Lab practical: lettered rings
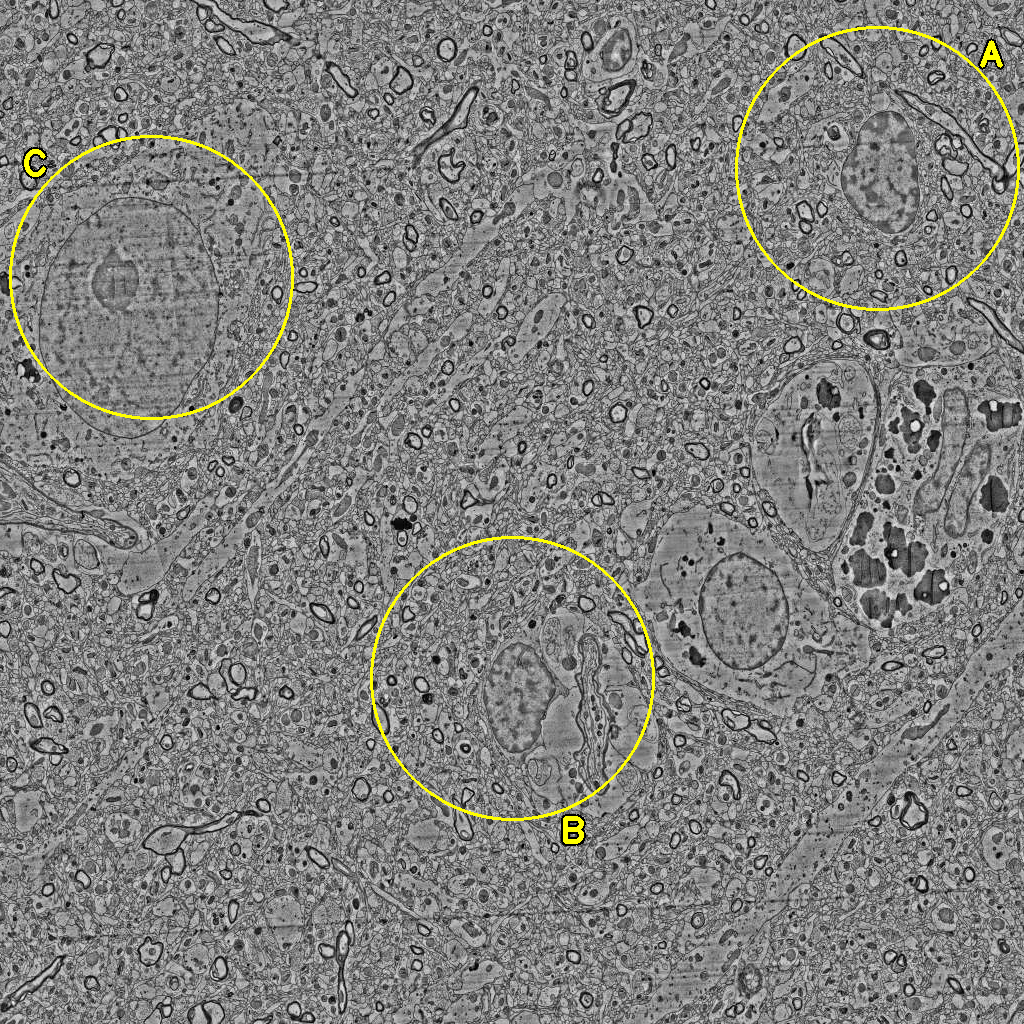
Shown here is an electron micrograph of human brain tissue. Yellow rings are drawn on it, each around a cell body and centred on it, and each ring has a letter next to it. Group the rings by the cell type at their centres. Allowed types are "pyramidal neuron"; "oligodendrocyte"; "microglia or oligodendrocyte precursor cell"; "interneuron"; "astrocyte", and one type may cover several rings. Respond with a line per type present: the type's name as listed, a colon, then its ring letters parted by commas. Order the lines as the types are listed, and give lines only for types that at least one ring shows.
pyramidal neuron: C
oligodendrocyte: B
microglia or oligodendrocyte precursor cell: A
